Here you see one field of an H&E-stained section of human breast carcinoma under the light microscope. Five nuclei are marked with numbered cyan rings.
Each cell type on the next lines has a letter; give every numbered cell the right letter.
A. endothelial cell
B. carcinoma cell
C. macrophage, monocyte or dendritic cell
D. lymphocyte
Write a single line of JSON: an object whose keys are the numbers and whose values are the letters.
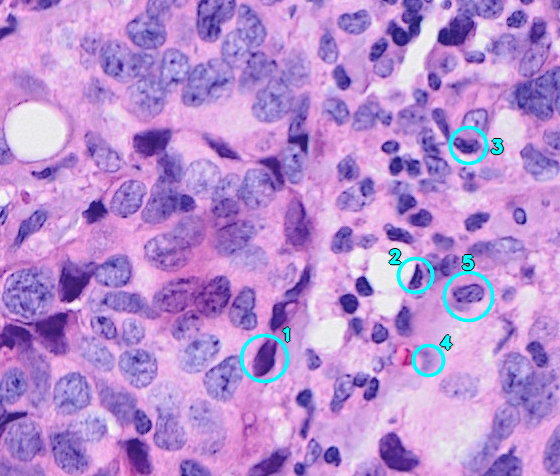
{"1": "B", "2": "D", "3": "D", "4": "A", "5": "C"}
